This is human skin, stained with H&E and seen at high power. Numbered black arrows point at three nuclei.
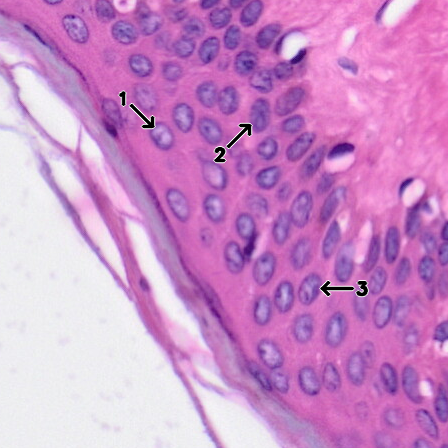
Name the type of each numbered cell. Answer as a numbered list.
1. suprabasal keratinocyte
2. basal keratinocyte
3. suprabasal keratinocyte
